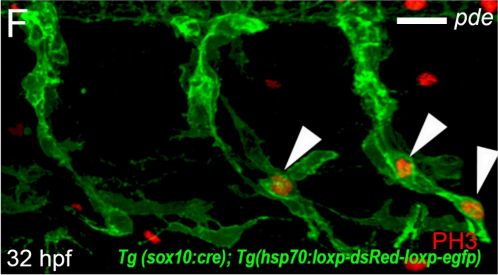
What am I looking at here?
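The cells are elongated and interconnected, with fine processes and ruffled edges along each stream. A few scattered red nuclei lie outside the green cells.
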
